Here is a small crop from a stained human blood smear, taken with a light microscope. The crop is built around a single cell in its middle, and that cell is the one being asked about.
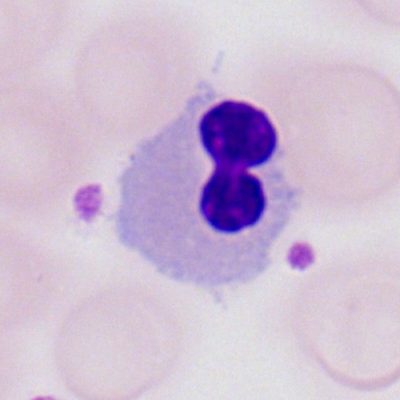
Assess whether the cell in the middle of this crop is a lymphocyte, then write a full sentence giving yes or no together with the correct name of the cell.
No, looking at the central cell, it is an erythroblast rather than a lymphocyte.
